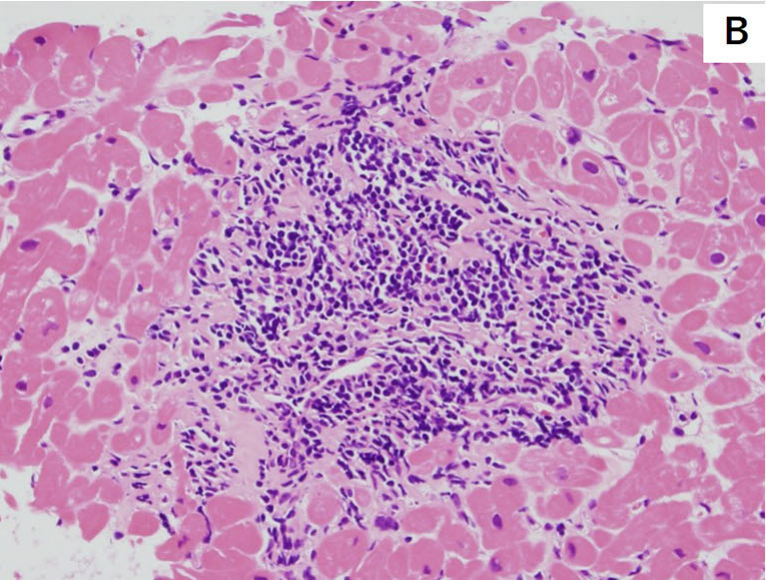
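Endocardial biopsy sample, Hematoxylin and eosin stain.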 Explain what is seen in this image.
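Heart muscle in cross and oblique section, with a dense focus of lymphocytic infiltration at its centre. Around the edges, the muscle fibres are pink, plump and rounded or polygonal. In the middle, a large patch is packed with small round and slightly elongated dark-purple nuclei that have little cytoplasm. Within this patch, the muscle fibres are lost or reduced to pale pink fragments. At the margins of the patch, the small dark cells spread out between neighbouring fibres and push them apart.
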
